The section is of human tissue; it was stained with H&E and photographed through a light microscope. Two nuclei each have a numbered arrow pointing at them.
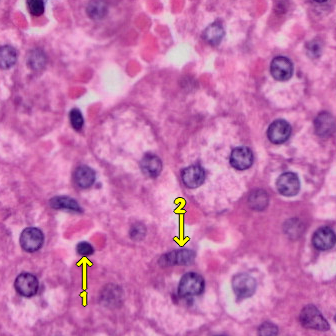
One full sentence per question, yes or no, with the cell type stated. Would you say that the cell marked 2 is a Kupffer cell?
Yes, the cell given number 2 is a Kupffer cell.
